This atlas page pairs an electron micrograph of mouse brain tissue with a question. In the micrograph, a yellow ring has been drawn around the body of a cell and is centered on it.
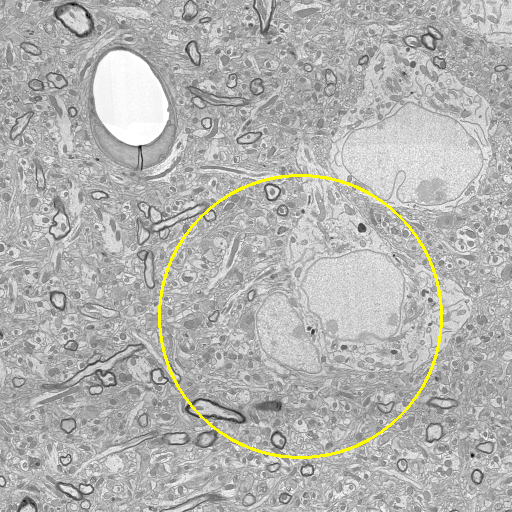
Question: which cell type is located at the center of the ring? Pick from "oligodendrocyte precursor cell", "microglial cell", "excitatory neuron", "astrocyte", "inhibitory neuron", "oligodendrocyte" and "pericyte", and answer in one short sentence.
Located at the center of the ring is an oligodendrocyte precursor cell.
